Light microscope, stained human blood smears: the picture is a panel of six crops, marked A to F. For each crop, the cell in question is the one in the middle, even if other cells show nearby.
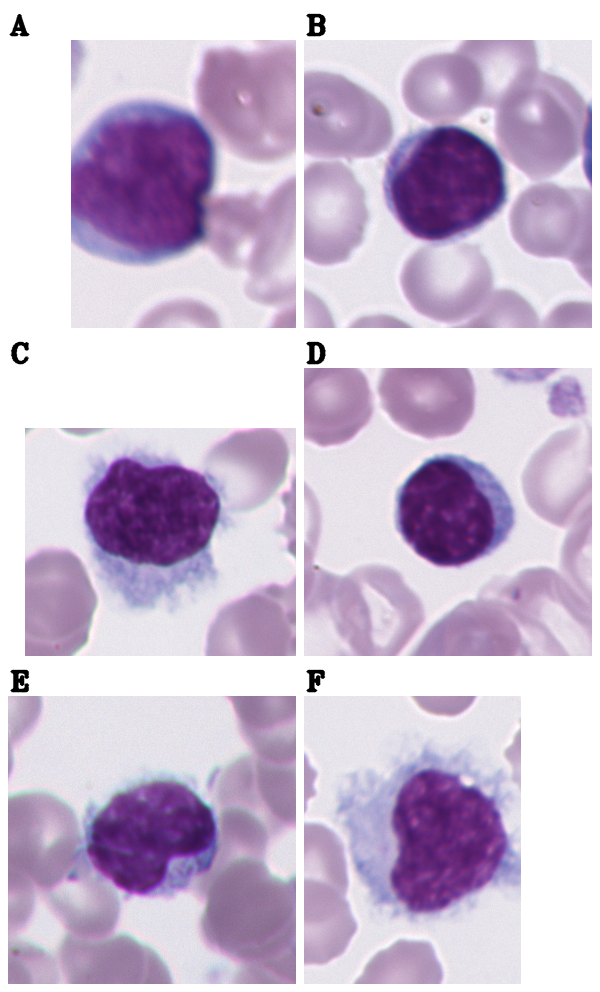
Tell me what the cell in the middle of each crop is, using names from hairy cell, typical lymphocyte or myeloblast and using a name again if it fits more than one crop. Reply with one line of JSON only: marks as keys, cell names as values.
{"A": "myeloblast", "B": "typical lymphocyte", "C": "hairy cell", "D": "typical lymphocyte", "E": "typical lymphocyte", "F": "hairy cell"}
